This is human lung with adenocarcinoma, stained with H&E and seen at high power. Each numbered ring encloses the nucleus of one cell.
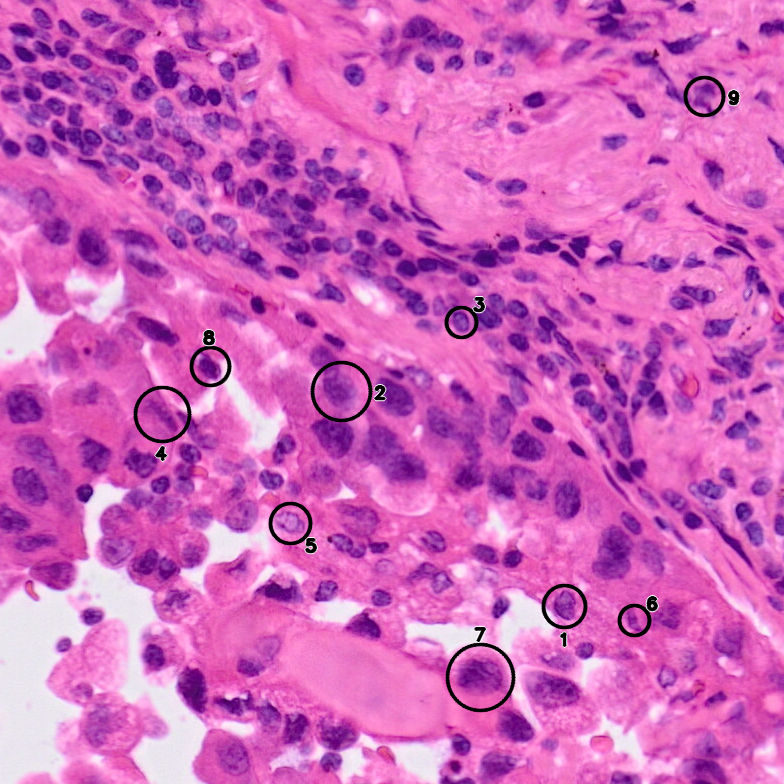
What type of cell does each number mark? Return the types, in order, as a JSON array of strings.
["macrophage or monocyte", "carcinoma cell", "lymphocyte", "carcinoma cell", "macrophage or monocyte", "macrophage or monocyte", "carcinoma cell", "carcinoma cell", "plasma cell"]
